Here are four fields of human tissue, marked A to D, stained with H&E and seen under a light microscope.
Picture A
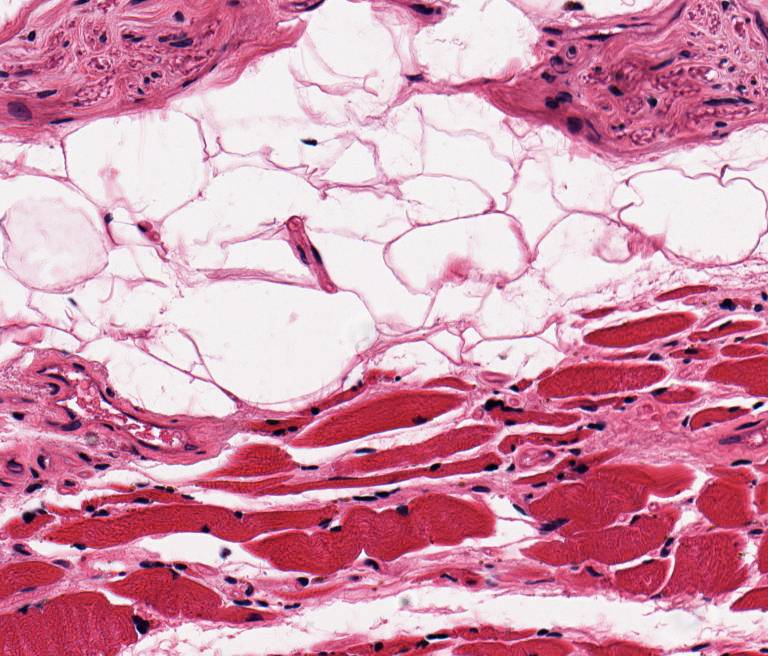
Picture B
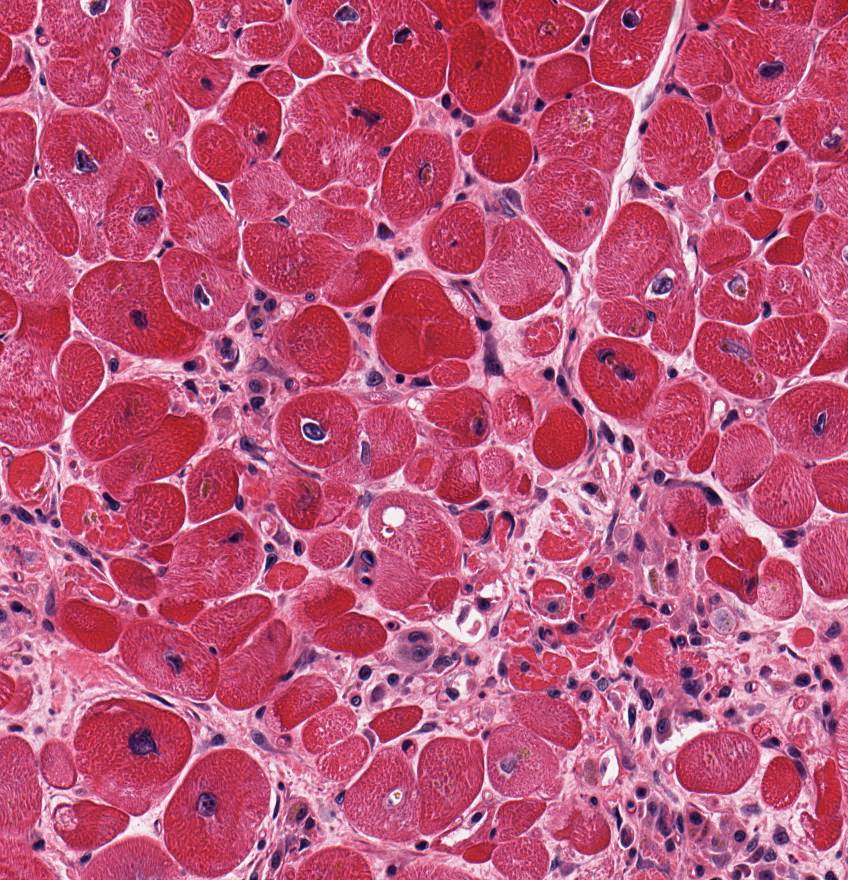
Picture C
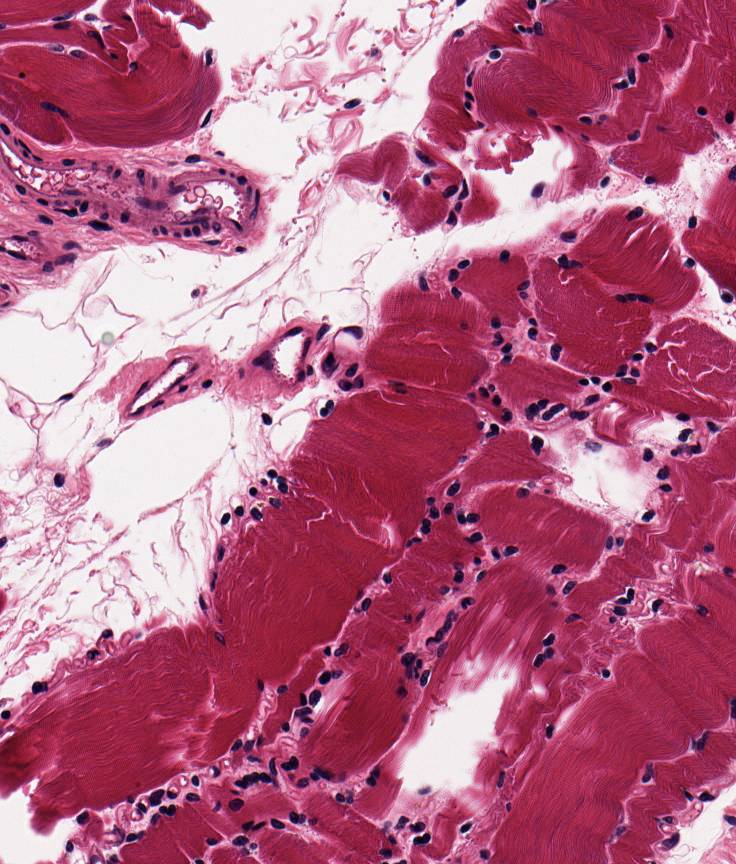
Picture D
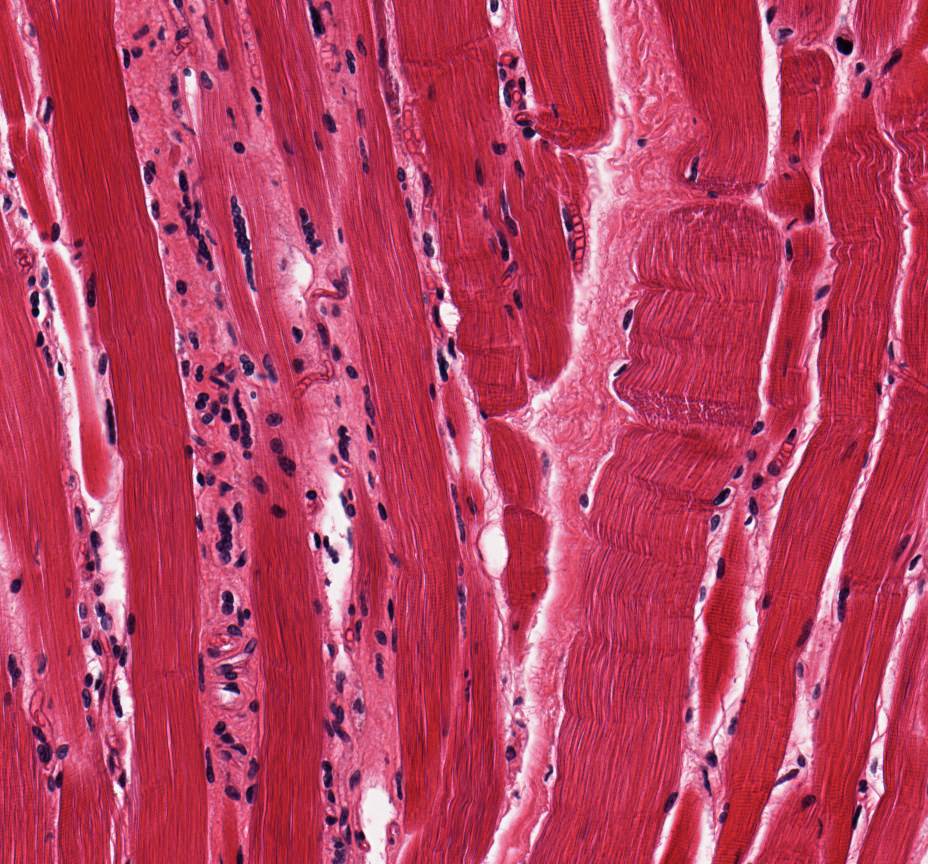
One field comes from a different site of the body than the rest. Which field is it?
B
